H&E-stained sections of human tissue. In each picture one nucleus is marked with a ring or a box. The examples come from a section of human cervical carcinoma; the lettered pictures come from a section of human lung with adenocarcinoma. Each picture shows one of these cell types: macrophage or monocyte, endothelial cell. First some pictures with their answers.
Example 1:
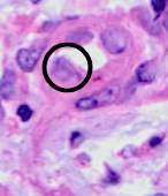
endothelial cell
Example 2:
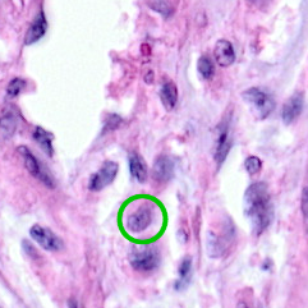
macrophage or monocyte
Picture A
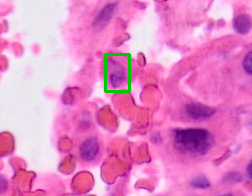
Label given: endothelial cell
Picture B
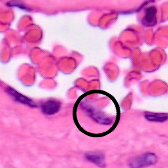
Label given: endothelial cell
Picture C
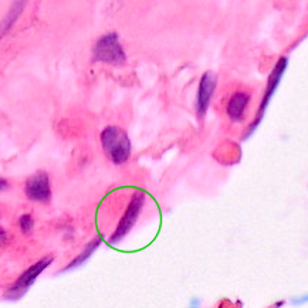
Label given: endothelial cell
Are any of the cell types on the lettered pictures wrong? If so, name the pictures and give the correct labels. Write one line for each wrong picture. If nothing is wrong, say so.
A should be macrophage or monocyte, not endothelial cell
